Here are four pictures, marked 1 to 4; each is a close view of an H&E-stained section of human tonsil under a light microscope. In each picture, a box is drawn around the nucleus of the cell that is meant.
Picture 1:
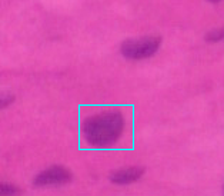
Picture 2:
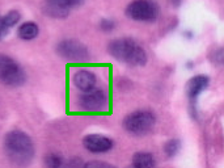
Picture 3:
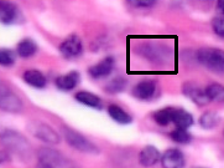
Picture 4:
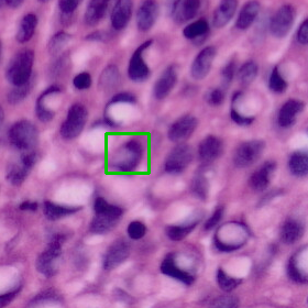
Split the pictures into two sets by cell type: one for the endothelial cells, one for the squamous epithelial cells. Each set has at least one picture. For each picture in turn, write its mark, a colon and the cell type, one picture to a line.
1: squamous epithelial cell
2: squamous epithelial cell
3: endothelial cell
4: squamous epithelial cell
